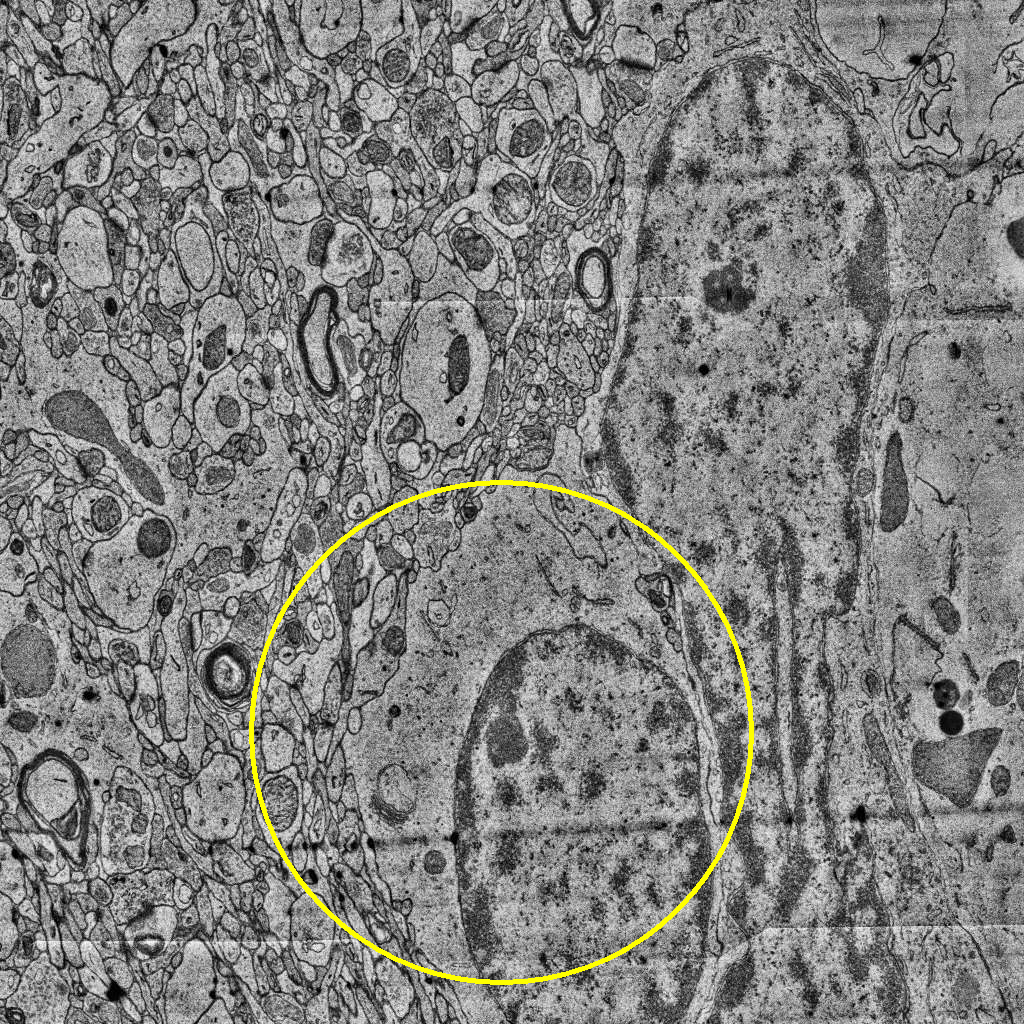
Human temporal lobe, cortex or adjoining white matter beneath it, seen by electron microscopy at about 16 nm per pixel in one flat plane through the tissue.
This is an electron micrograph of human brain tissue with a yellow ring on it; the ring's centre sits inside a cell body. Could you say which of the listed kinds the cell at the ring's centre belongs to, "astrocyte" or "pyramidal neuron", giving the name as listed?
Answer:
astrocyte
